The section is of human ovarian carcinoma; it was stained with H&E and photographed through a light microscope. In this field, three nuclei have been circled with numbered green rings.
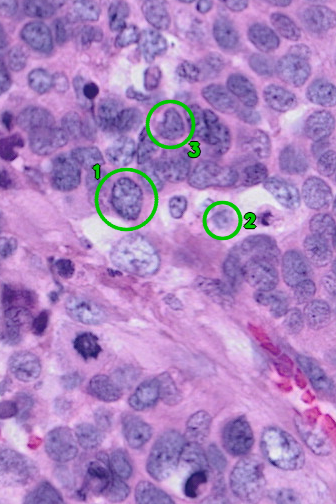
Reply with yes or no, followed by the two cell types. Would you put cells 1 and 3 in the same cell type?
Yes, cell 1 is counted among the carcinoma cells, as is cell 3.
